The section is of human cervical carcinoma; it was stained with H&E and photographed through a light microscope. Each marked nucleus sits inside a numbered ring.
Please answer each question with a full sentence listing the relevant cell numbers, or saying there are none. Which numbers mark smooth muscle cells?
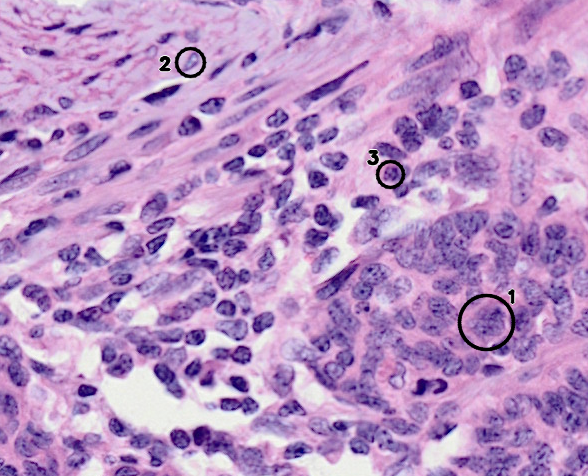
Across all the numbered cells, only number 2 is a smooth muscle cell.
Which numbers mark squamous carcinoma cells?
Whereas cell 1 is a squamous carcinoma cell, the other numbered cells are not.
